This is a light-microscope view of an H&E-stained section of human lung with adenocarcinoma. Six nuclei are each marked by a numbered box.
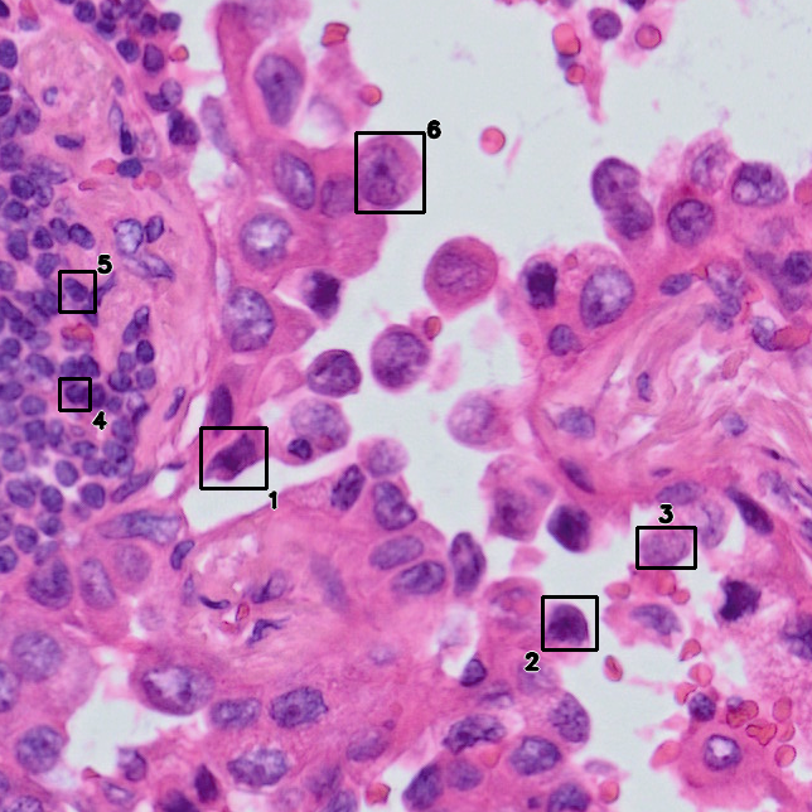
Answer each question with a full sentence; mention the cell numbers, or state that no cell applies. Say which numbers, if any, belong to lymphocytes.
The cells marked 4 and 5 in the section are lymphocytes.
